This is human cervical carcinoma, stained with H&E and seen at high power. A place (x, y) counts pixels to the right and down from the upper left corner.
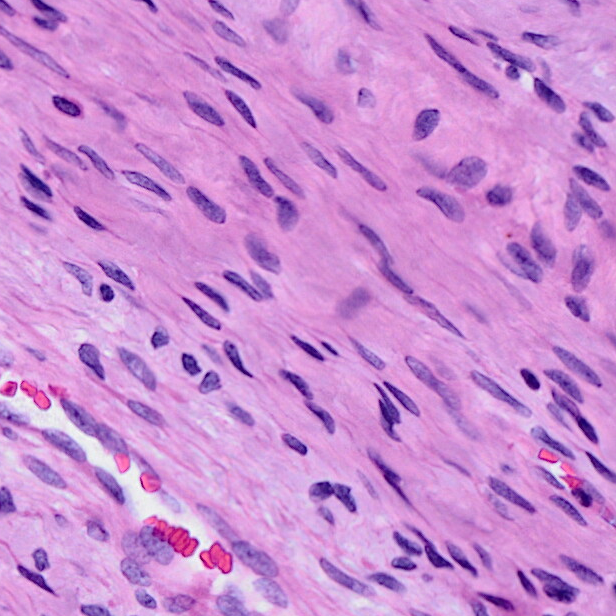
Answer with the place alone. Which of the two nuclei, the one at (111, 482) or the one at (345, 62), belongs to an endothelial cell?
(111, 482)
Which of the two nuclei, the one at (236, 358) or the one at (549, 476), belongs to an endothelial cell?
(549, 476)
